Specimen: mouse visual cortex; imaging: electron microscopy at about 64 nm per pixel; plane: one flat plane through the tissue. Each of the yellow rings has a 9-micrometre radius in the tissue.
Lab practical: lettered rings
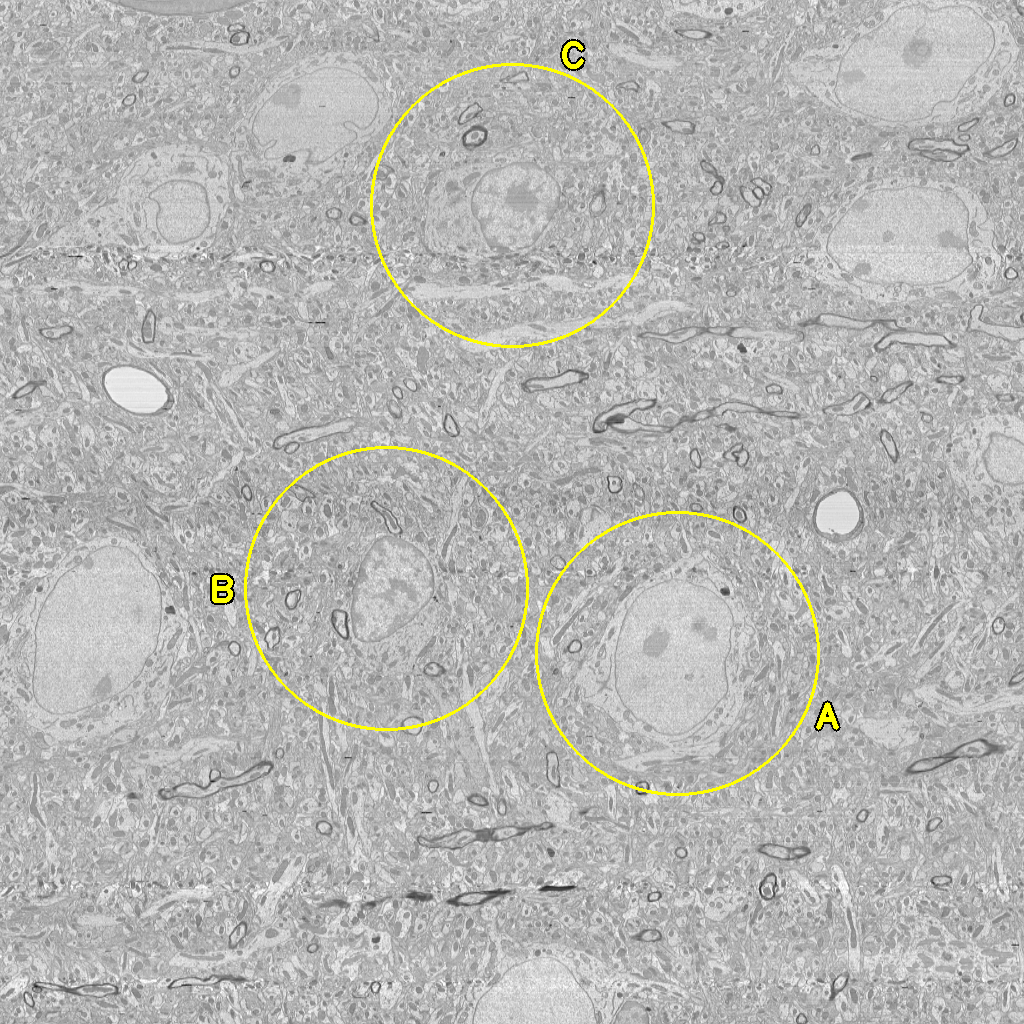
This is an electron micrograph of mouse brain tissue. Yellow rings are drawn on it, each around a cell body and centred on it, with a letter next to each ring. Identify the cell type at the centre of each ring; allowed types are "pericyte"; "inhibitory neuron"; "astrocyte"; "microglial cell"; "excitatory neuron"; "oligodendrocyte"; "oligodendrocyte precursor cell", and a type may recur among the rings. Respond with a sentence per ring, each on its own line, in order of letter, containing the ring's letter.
Lying at the centre of ring A is an excitatory neuron.
Lying at the centre of ring B is an oligodendrocyte.
Lying at the centre of ring C is an oligodendrocyte.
